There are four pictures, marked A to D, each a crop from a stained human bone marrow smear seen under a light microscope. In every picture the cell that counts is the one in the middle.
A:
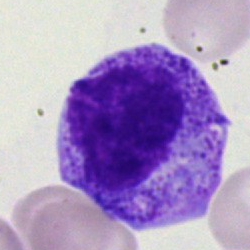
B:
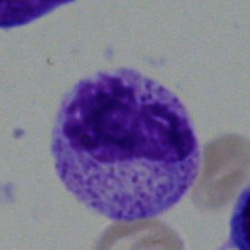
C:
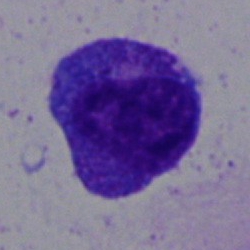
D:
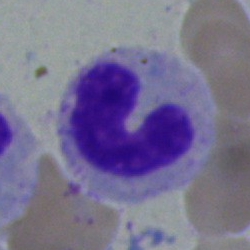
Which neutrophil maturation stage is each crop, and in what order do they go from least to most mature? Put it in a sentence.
By increasing maturity, the order is crop C (a promyelocyte), crop A (a myelocyte), crop B (a metamyelocyte) and crop D (a band neutrophil).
